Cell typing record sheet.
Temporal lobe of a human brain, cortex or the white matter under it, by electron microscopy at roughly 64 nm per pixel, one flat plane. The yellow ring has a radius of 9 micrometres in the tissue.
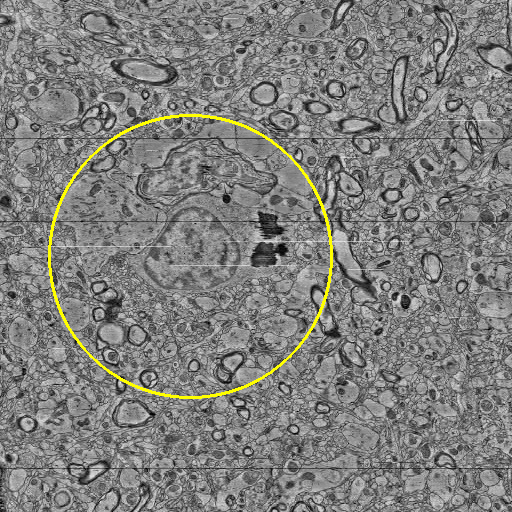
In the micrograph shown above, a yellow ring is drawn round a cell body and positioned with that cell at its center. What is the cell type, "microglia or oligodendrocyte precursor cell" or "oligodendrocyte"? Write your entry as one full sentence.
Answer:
The cell body at the center of the ring belongs to an oligodendrocyte.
